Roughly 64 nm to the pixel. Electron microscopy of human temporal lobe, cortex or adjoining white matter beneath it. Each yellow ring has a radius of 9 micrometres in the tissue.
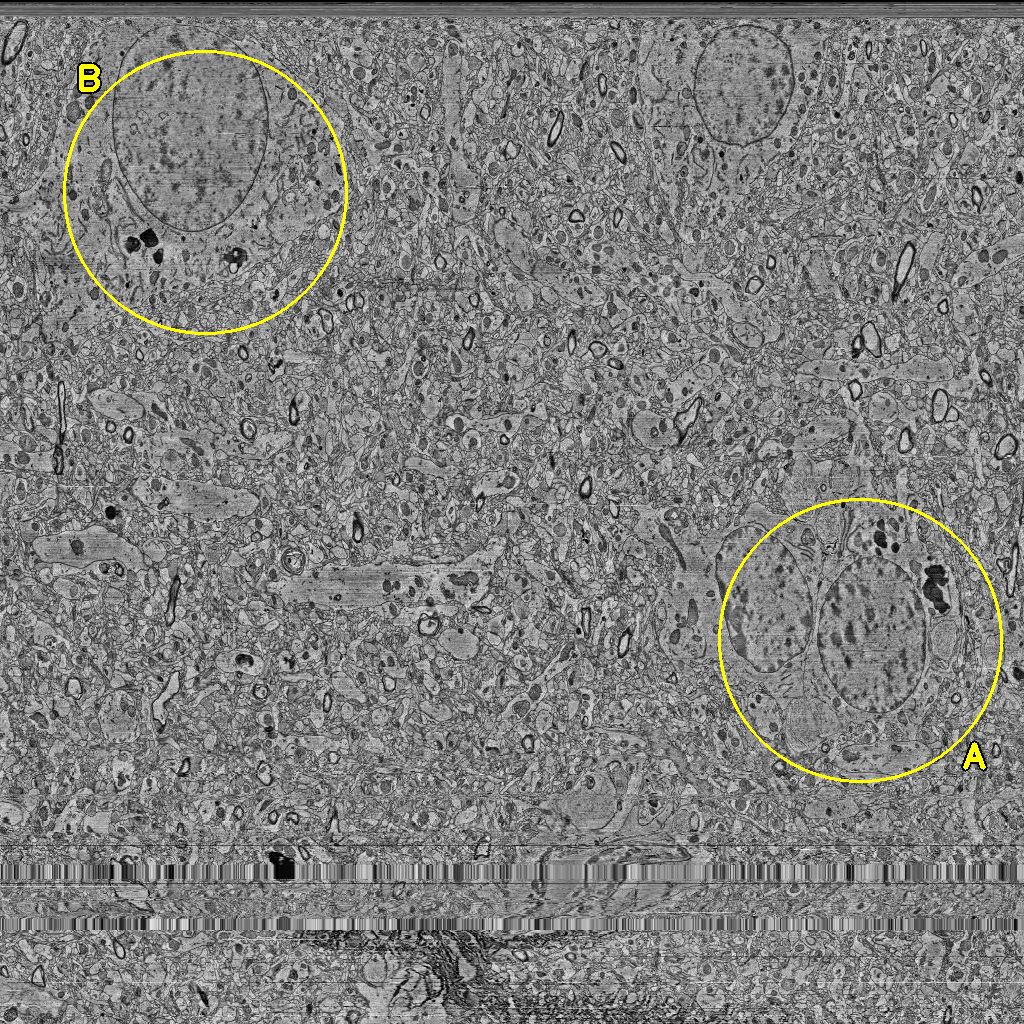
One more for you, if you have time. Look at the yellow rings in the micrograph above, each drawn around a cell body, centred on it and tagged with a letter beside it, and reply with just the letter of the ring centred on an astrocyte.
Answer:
A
